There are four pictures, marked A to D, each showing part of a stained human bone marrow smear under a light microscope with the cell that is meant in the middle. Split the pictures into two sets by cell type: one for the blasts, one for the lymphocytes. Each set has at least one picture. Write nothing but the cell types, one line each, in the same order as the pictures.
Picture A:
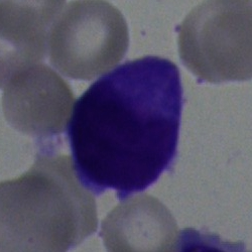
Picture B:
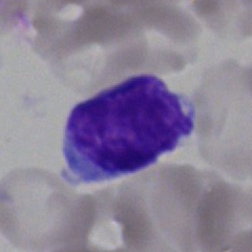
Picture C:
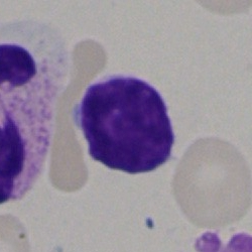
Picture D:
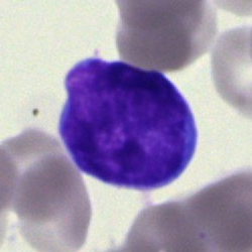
blast
lymphocyte
lymphocyte
blast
